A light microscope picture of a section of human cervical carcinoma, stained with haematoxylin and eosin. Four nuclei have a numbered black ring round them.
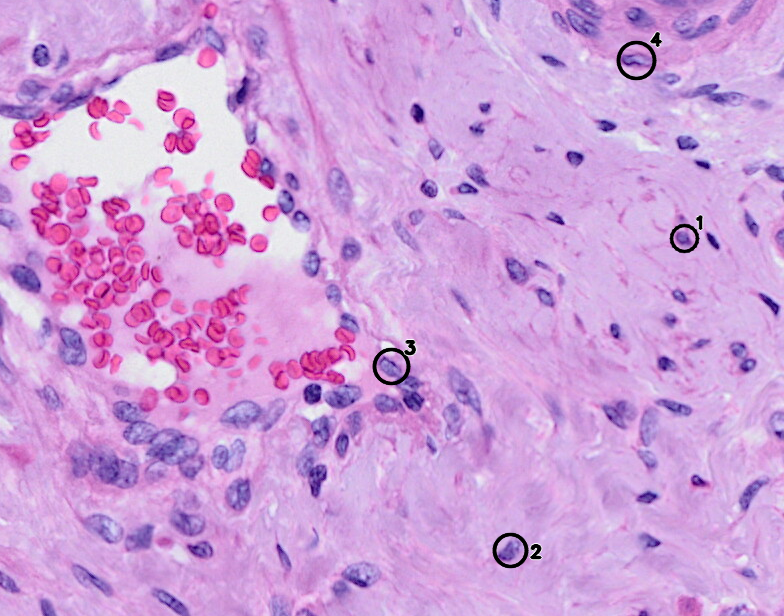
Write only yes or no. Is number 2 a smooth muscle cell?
no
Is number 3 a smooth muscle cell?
no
